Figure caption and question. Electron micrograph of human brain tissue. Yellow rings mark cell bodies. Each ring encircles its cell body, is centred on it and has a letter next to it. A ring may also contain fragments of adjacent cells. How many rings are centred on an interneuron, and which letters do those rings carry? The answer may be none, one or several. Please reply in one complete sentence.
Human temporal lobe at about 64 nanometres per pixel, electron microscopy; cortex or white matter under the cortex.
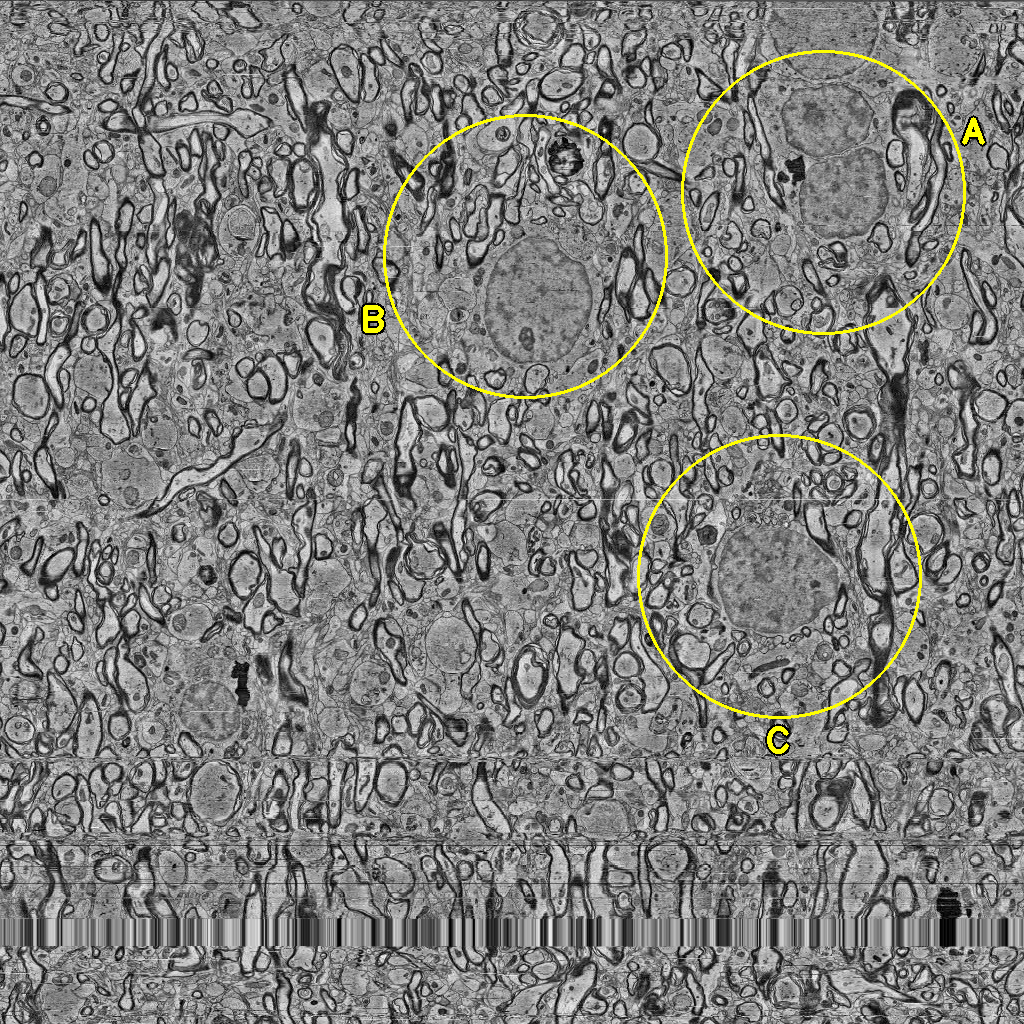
Every lettered ring is centred on something other than an interneuron, so the count is zero.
